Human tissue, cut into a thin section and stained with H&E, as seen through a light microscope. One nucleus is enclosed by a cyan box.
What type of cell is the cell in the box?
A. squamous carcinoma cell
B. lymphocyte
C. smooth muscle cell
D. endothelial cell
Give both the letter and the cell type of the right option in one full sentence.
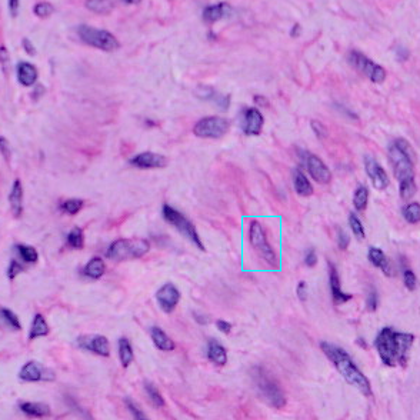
The correct pick is option C; the cell in the box is a smooth muscle cell.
